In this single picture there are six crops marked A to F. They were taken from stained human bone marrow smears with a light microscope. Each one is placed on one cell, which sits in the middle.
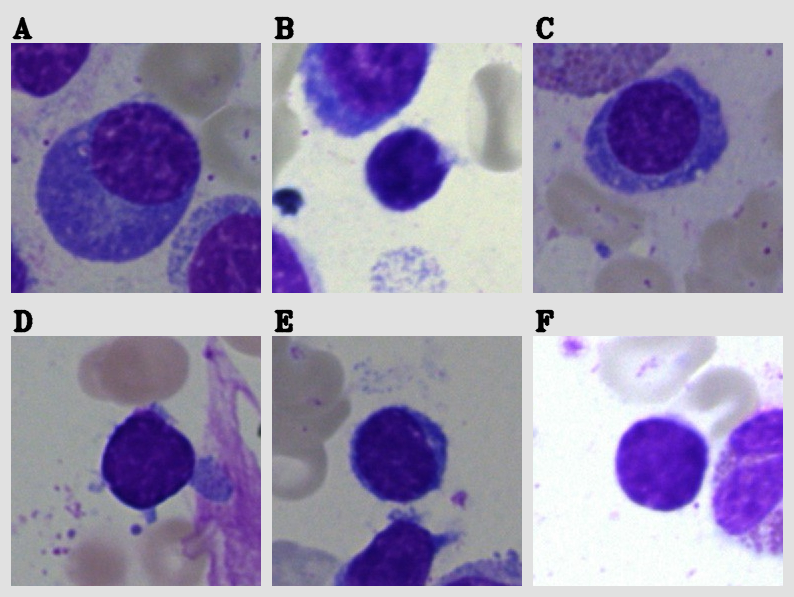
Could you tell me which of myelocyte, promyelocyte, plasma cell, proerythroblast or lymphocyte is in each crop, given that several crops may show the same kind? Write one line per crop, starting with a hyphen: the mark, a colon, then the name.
- A: plasma cell
- B: lymphocyte
- C: plasma cell
- D: lymphocyte
- E: lymphocyte
- F: lymphocyte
